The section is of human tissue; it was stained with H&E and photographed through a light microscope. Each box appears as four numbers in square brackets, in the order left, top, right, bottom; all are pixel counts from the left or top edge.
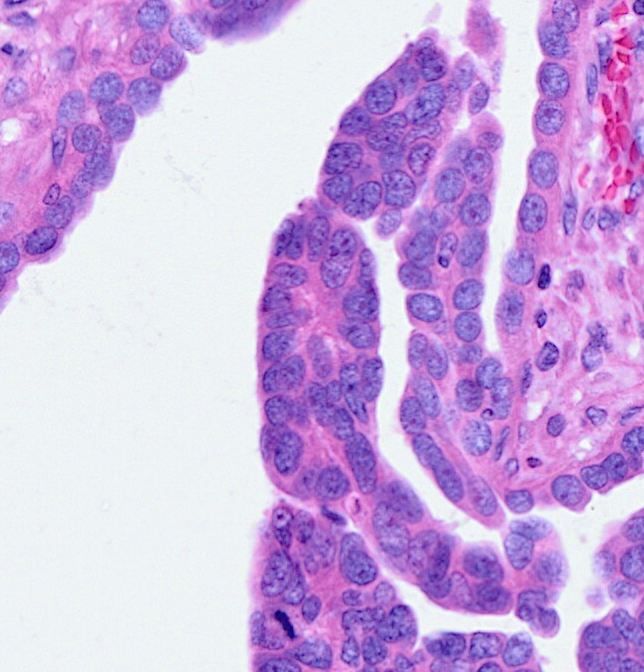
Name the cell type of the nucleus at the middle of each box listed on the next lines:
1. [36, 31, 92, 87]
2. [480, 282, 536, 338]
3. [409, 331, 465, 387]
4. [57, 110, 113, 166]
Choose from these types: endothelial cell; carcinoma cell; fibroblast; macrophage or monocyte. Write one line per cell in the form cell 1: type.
cell 1: fibroblast
cell 2: carcinoma cell
cell 3: carcinoma cell
cell 4: carcinoma cell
